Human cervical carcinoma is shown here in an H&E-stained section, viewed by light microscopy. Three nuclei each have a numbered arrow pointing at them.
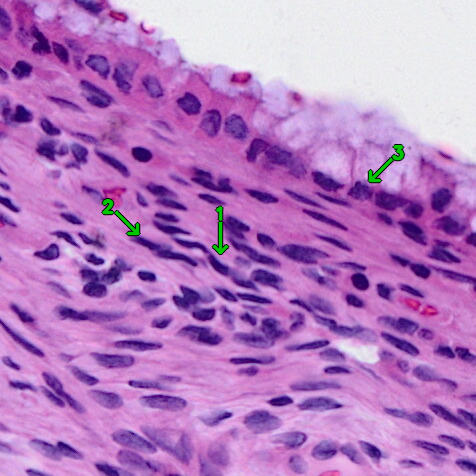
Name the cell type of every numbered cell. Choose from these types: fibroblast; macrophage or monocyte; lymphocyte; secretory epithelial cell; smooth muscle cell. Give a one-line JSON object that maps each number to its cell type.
{"1": "fibroblast", "2": "fibroblast", "3": "secretory epithelial cell"}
